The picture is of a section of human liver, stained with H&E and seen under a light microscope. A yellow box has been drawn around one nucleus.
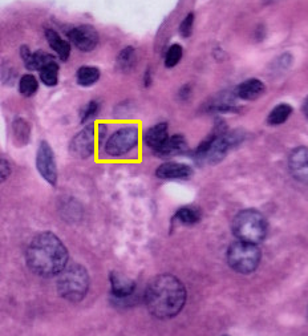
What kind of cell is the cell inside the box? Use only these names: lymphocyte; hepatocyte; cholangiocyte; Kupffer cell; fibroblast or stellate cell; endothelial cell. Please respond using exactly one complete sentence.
Assigned to a cell type, the cell inside the box is a cholangiocyte.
